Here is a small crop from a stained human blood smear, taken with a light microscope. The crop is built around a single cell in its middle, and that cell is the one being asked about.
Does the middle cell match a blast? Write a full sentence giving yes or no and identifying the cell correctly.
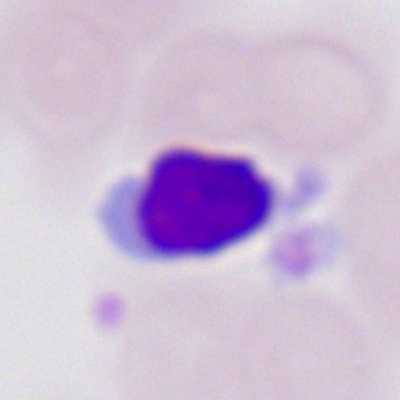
No, the central cell is properly termed a lymphocyte, not a blast.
